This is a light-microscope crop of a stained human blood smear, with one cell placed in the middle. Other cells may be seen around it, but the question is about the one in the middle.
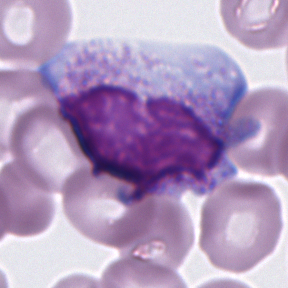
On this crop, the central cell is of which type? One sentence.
For this crop, the central cell is a promyelocyte.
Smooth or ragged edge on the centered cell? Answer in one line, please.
Irregular and not smooth, the cell boundary is ragged or drawn out into projections.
